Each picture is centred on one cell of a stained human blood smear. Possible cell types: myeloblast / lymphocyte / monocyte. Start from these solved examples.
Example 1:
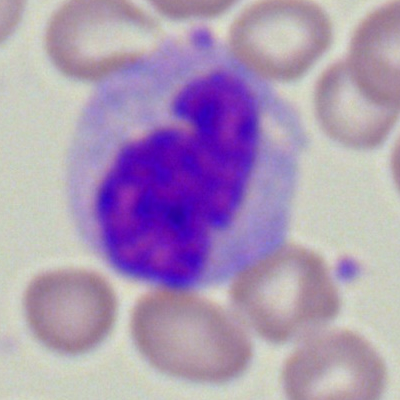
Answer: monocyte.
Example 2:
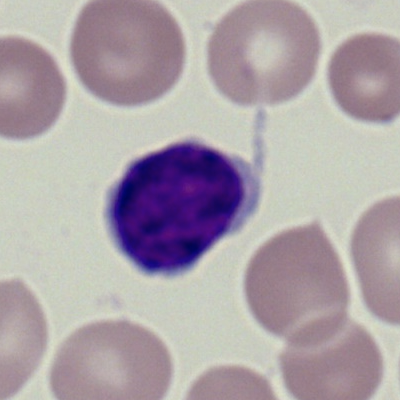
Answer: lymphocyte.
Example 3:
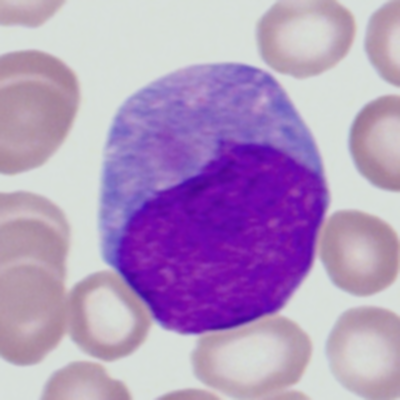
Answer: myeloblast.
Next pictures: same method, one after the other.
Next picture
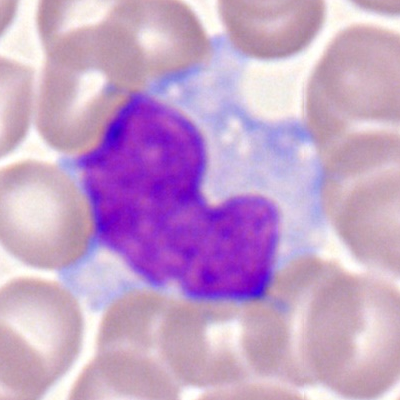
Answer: monocyte.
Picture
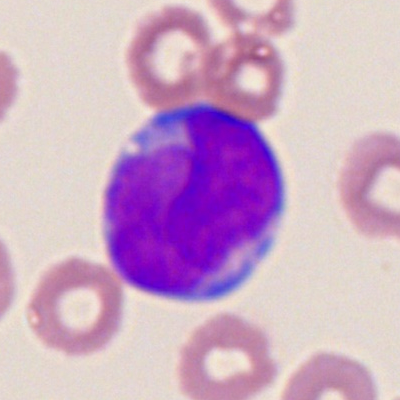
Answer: myeloblast.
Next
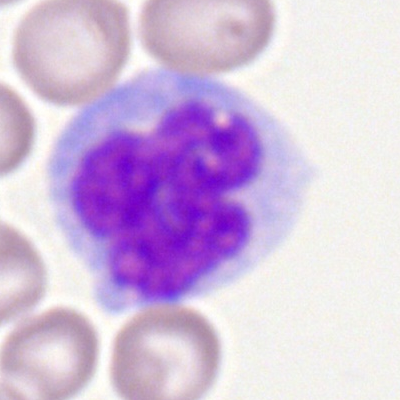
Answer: monocyte.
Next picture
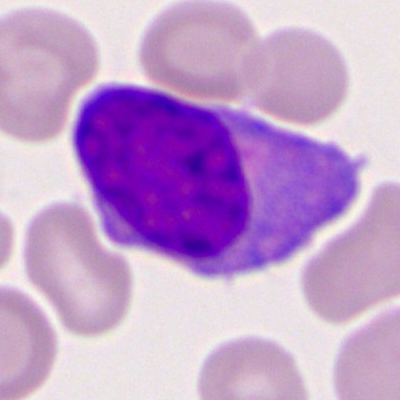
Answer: myeloblast.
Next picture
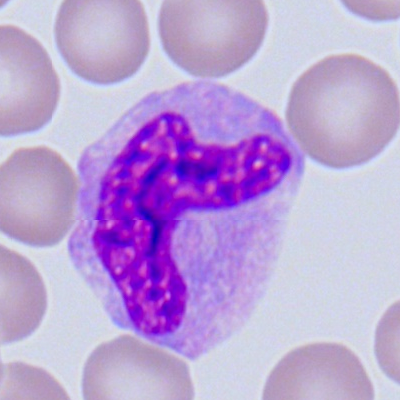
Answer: monocyte.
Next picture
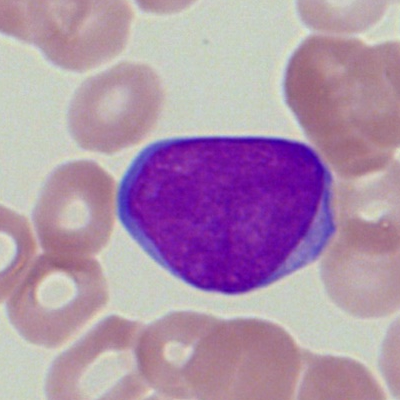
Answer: myeloblast.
